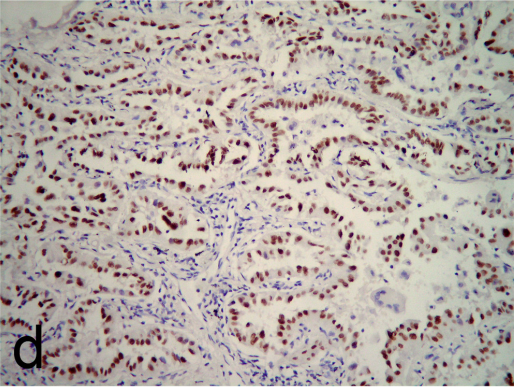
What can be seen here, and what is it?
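This shows tumor cells arranged in elongated, branching gland-like rows and ribbons with a pale stroma between them. The nuclei of the tumor cells are stained brown, while their cytoplasm is largely unstained. The brown nuclei line up along the rows, often in a single layer facing narrow spaces. The stroma between the rows contains smaller spindle and round nuclei that are blue rather than brown.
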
